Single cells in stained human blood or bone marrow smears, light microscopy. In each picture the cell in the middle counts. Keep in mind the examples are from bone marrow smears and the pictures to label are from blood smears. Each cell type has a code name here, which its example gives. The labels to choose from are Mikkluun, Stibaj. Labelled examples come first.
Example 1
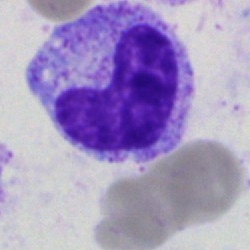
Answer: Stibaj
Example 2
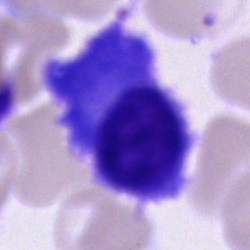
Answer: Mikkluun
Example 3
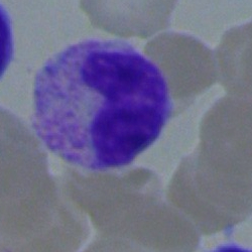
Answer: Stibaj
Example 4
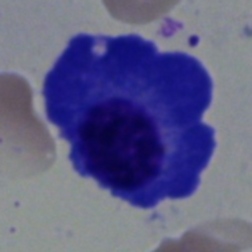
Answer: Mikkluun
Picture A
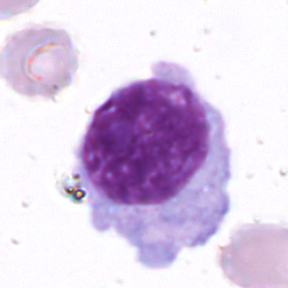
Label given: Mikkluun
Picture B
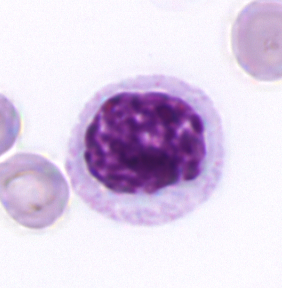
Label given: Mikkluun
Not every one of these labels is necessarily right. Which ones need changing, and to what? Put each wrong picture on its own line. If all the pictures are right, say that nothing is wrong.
B: Stibaj, not Mikkluun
